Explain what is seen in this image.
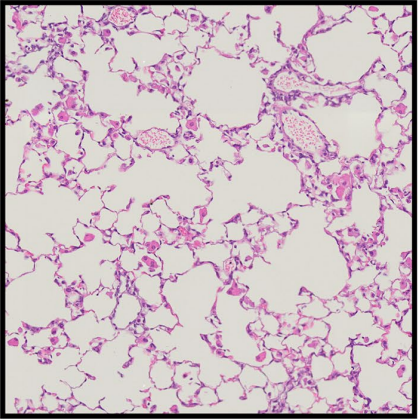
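This is lung parenchyma with markedly enlarged, irregular air spaces whose thin pink alveolar walls appear interrupted, so that neighbouring alveoli merge into wide spaces. The septa carry many purple nuclei, and rounded cells with pink cytoplasm lie within some air spaces. Blood vessels filled with red cells lie among the septa.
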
